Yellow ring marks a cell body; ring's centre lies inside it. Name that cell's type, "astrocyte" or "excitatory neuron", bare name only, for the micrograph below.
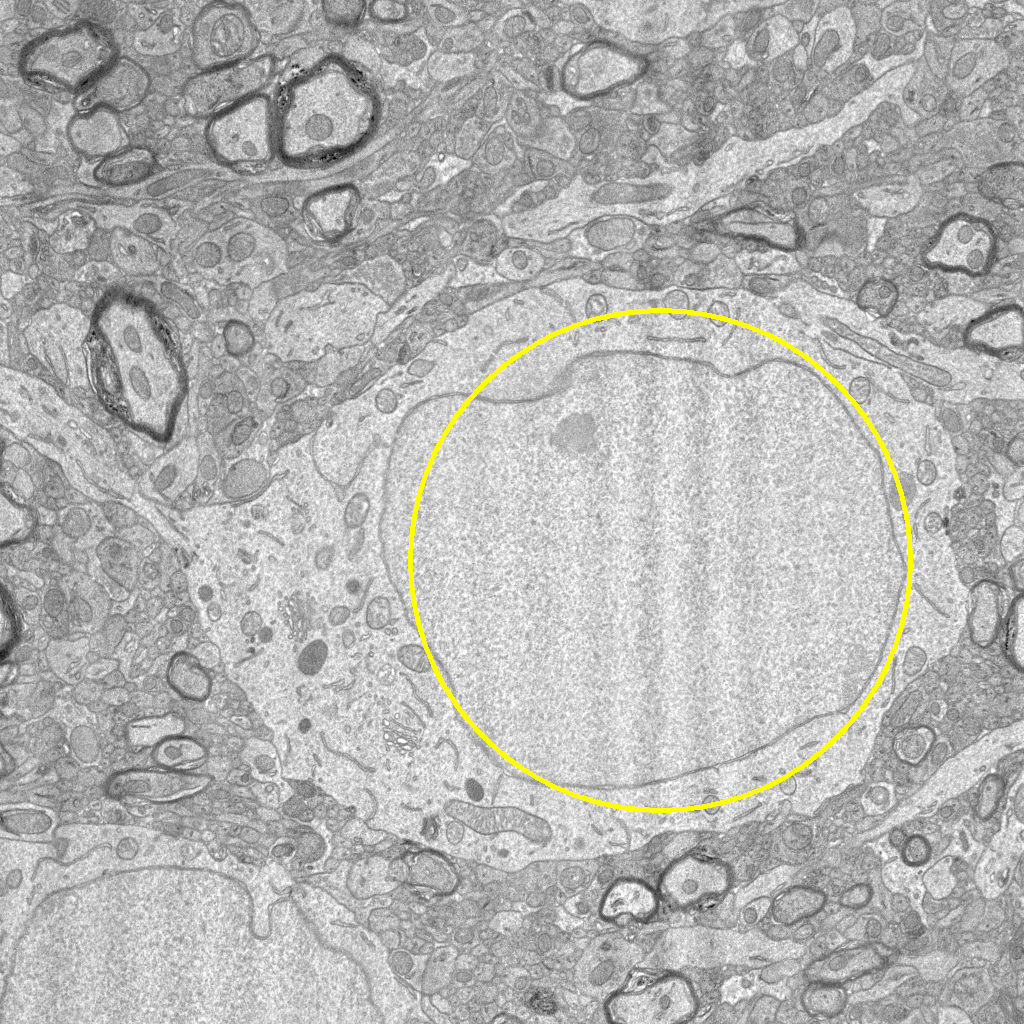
excitatory neuron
